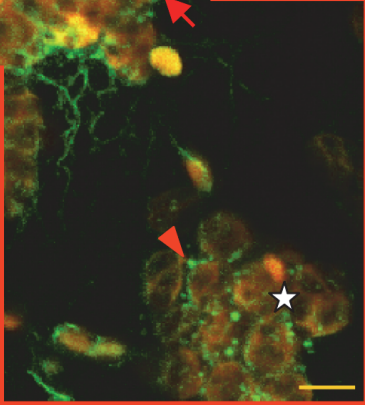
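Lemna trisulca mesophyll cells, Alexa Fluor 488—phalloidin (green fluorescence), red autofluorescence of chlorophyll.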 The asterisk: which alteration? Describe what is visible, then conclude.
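Around the asterisk the green appears as scattered dots rather than continuous strands. On this evidence: absence of long bundles twisting around plastids.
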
